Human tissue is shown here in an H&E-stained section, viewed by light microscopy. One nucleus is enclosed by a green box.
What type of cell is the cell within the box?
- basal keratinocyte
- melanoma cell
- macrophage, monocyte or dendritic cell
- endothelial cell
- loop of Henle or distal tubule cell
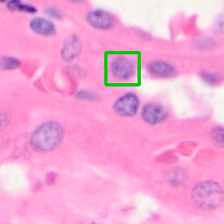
loop of Henle or distal tubule cell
